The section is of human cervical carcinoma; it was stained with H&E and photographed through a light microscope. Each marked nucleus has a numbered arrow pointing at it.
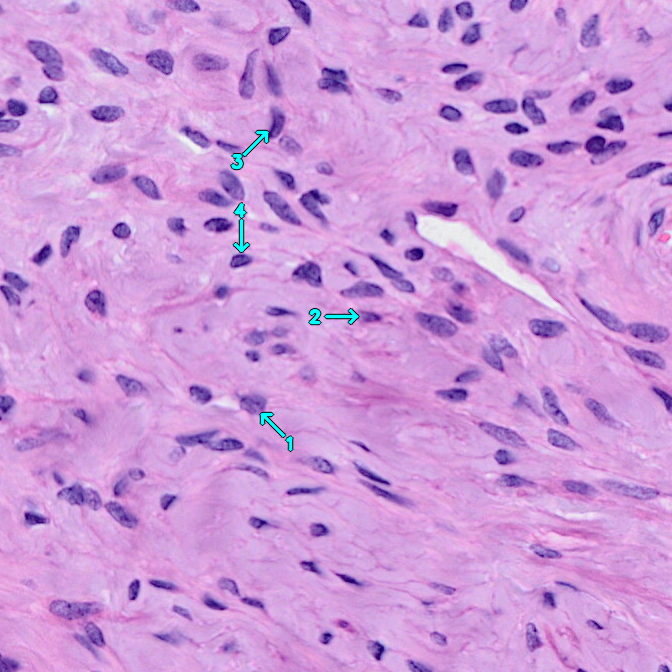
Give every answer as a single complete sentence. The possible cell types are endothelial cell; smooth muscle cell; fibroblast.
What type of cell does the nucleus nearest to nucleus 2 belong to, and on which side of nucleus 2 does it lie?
It is a fibroblast, whose nucleus lies above nucleus 2.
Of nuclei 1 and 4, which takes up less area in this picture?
It is nucleus 4; nucleus 1 has about 1.5 times its area.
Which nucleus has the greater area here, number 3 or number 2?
Nucleus 3 is larger, with an area about 2 times that of nucleus 2.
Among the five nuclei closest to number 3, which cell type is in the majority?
The majority of the five nuclei closest to number 3 belong to fibroblasts.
